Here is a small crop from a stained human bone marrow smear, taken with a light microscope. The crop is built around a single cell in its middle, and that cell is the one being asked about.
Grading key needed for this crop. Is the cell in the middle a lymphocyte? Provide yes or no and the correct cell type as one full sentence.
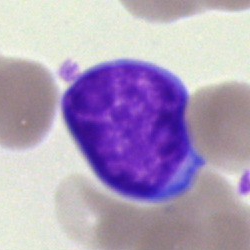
No, the cell at the centre is a blast, which rules out a lymphocyte.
